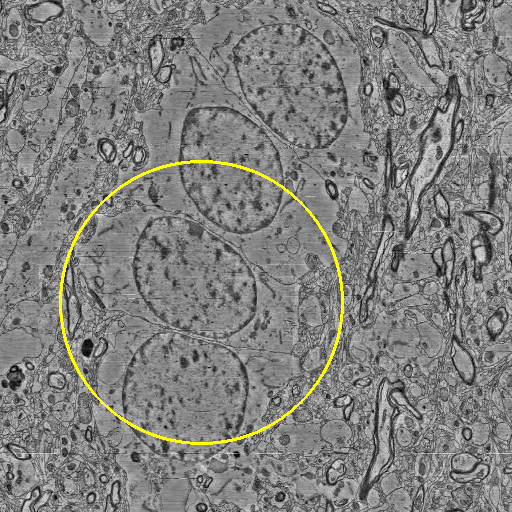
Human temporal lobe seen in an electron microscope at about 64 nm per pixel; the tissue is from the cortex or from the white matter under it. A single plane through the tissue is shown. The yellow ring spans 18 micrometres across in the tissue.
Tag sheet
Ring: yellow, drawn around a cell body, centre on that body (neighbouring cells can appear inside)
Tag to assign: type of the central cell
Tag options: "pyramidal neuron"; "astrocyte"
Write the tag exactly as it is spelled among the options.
astrocyte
